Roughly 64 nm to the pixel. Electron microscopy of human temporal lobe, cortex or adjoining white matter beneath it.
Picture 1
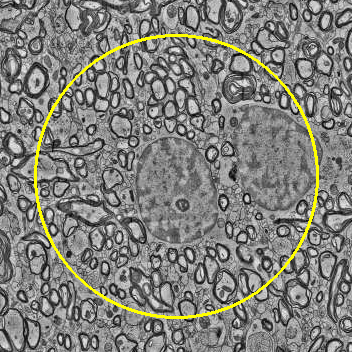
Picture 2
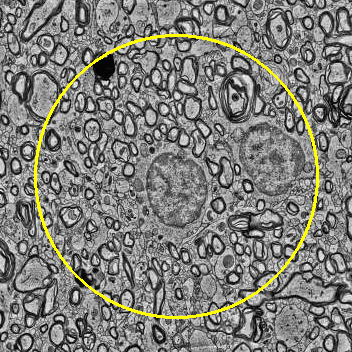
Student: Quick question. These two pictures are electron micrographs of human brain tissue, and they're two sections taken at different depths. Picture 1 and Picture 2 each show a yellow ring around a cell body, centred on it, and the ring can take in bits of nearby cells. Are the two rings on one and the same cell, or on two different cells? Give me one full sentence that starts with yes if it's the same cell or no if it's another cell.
Yes, both marked profiles belong to the very same cell.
